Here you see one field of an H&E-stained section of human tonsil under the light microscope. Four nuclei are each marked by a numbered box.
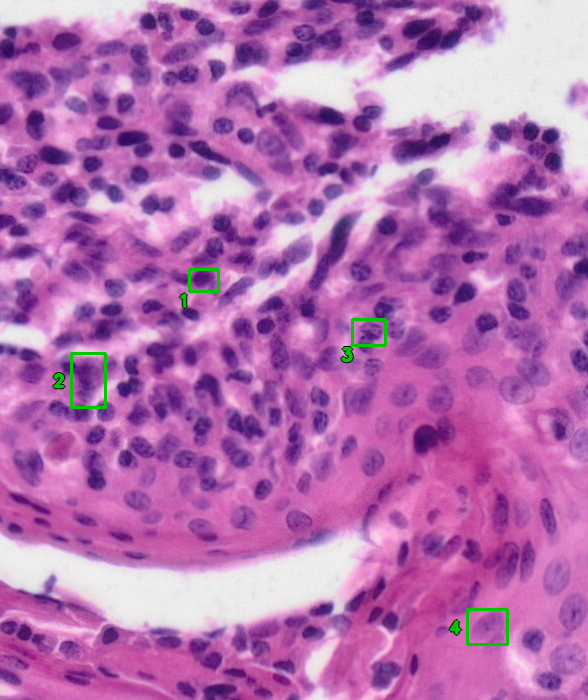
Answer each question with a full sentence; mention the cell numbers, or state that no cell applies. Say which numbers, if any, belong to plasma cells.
The only cell among those numbered to be a plasma cell is number 3.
